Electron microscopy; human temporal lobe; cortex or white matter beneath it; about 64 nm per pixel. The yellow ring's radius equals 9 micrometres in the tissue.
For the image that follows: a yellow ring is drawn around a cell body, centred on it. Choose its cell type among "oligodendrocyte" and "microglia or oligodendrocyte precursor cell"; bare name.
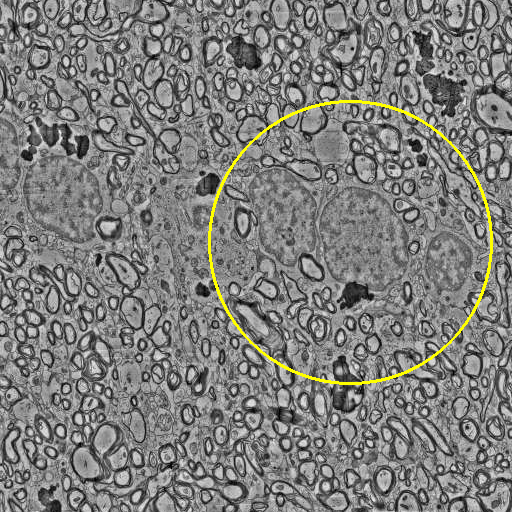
oligodendrocyte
